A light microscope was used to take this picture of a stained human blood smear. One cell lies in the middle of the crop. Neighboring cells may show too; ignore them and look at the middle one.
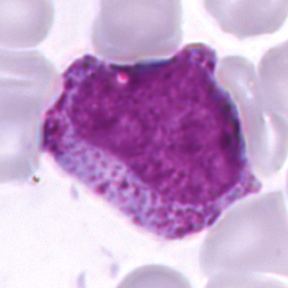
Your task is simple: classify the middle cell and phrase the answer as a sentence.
The cell at the heart of this crop is a promyelocyte.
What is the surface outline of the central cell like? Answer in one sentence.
The cell membrane follows an uneven contour, either ragged or bearing projections.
